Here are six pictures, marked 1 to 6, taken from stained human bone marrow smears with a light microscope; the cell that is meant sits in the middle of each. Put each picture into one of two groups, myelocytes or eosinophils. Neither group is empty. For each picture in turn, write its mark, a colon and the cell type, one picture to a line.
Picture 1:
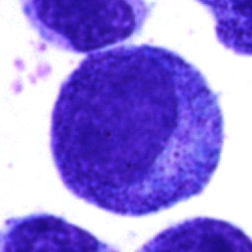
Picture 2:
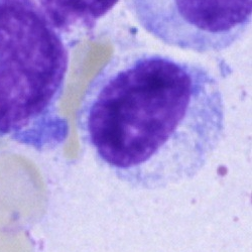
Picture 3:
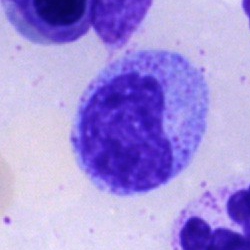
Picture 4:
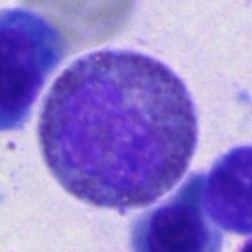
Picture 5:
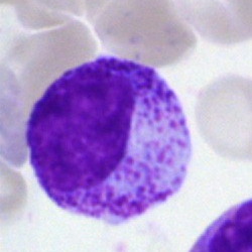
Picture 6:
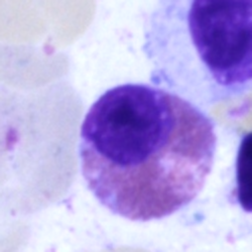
1: myelocyte
2: myelocyte
3: myelocyte
4: eosinophil
5: myelocyte
6: eosinophil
